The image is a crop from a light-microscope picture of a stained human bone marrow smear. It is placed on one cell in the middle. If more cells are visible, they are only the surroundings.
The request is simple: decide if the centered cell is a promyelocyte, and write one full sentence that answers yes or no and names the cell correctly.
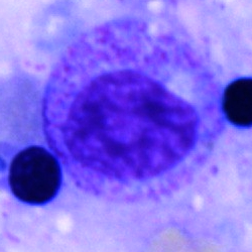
Yes, the central element of the crop is a promyelocyte.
